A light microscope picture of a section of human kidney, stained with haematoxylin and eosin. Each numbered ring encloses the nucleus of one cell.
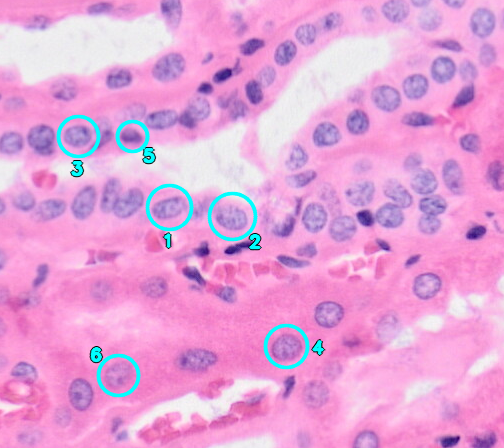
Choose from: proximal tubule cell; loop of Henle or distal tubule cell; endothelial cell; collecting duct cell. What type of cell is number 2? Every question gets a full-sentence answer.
What the number 2 marks in this field is a collecting duct cell.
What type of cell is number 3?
The cell that bears the number 3 is a collecting duct cell.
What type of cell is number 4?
The cell assigned the number 4 is a proximal tubule cell.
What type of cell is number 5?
Cell 5, among those numbered, is a collecting duct cell.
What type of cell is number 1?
Looking at the numbered marks, cell 1 is a collecting duct cell.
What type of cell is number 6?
Numbered cell 6 is a proximal tubule cell in this tissue section.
